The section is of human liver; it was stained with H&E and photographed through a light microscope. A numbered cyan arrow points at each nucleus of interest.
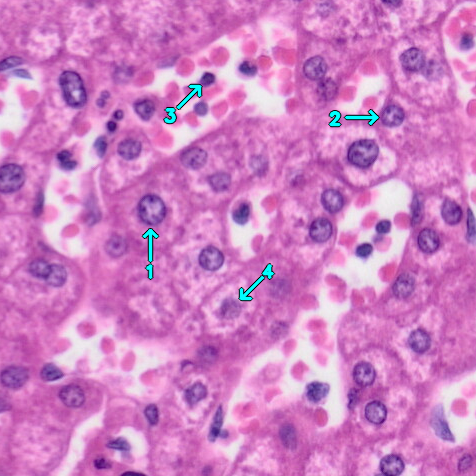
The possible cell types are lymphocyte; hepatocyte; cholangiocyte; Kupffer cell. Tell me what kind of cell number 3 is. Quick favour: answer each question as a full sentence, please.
Identified as a lymphocyte is the cell bearing the number 3.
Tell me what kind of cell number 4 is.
Belonging to a hepatocyte is the nucleus that carries the number 4.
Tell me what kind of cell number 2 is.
The cell bearing label 2 corresponds to a hepatocyte.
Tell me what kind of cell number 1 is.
The cell indicated with the number 1 is classed as a hepatocyte.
